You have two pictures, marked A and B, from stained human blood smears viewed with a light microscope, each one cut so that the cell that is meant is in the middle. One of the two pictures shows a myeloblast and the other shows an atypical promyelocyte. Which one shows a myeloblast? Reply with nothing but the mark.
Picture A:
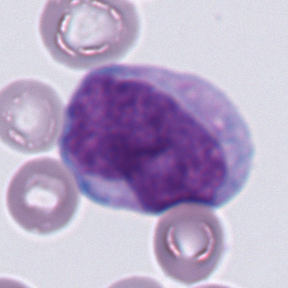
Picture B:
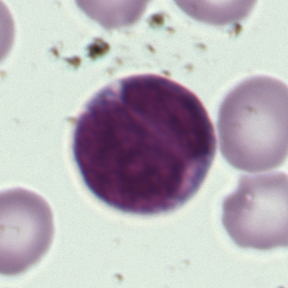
B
